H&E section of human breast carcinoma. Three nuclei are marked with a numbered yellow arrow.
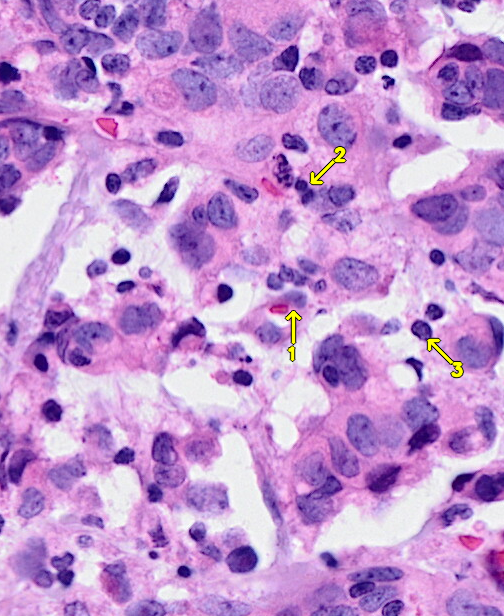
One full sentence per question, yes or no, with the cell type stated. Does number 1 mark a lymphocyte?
No, the right label for cell 1 is an endothelial cell rather than a lymphocyte.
